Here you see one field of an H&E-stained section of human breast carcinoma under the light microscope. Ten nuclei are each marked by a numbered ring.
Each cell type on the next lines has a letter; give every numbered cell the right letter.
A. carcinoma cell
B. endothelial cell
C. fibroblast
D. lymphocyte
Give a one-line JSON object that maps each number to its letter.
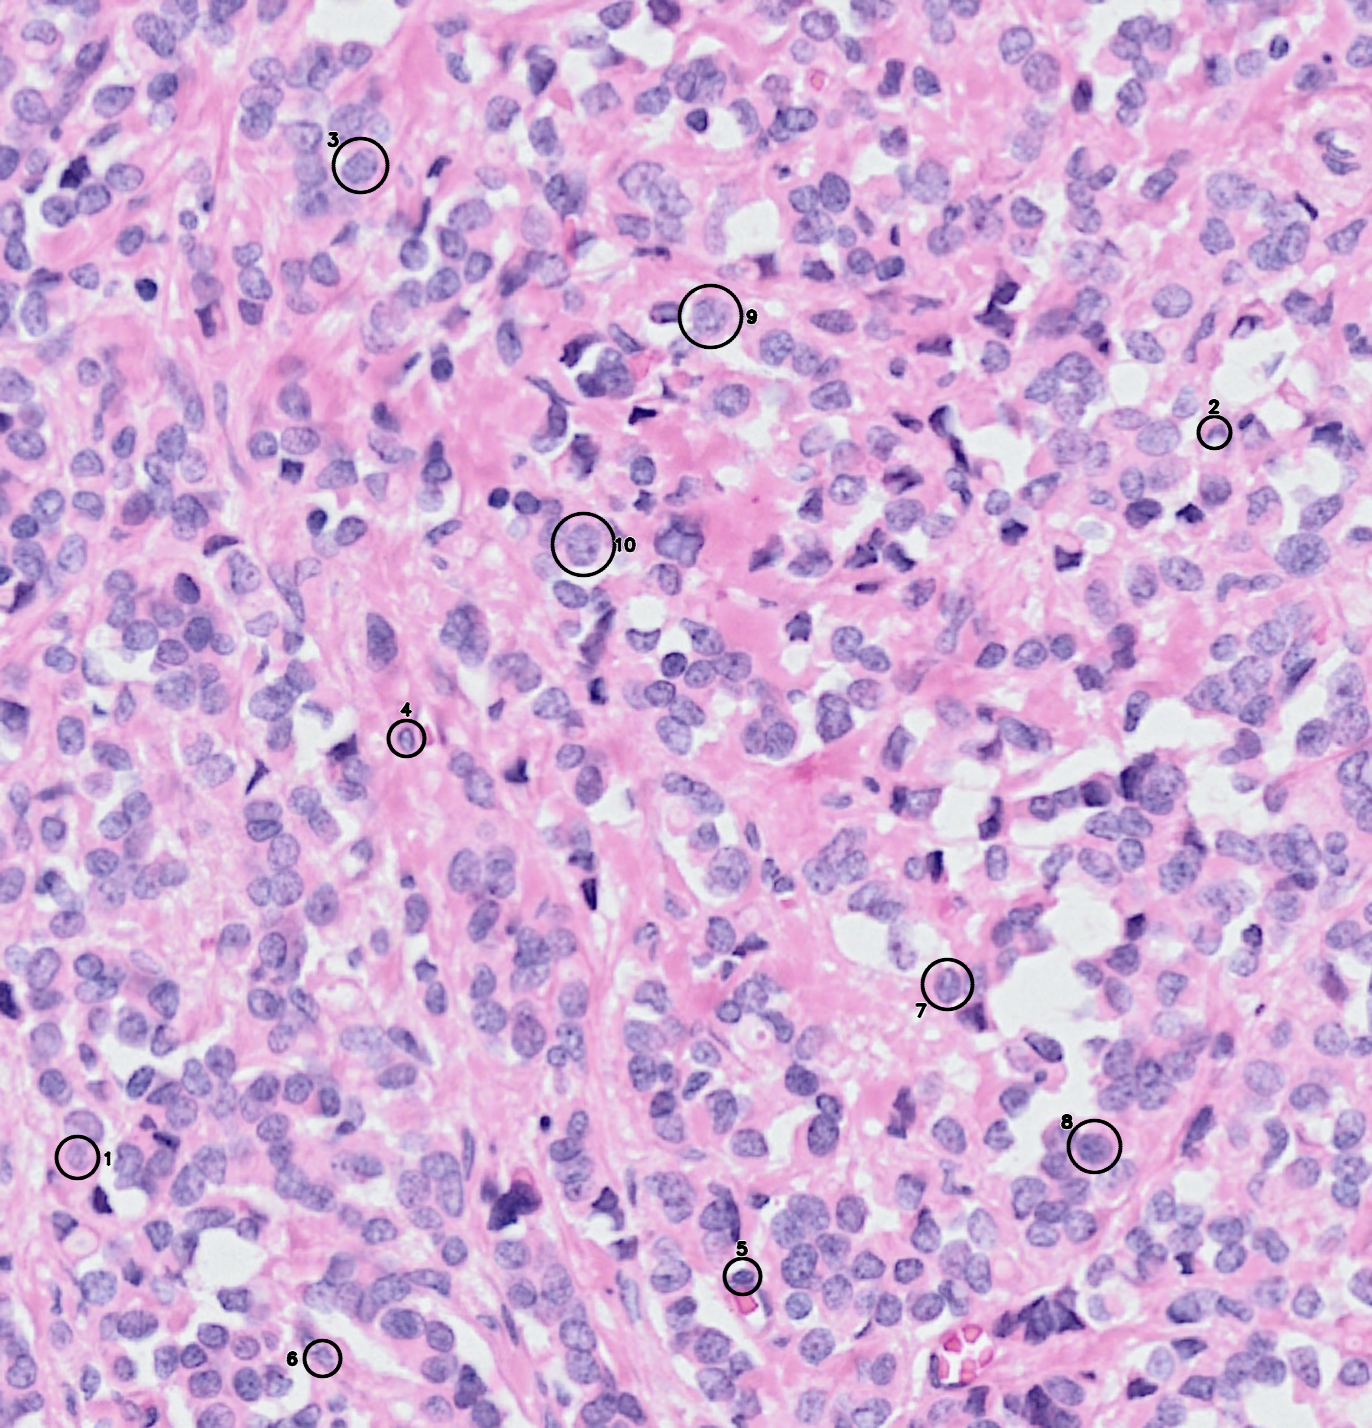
{"1": "A", "2": "B", "3": "A", "4": "B", "5": "B", "6": "B", "7": "A", "8": "A", "9": "A", "10": "A"}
